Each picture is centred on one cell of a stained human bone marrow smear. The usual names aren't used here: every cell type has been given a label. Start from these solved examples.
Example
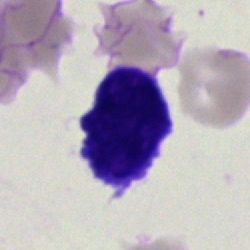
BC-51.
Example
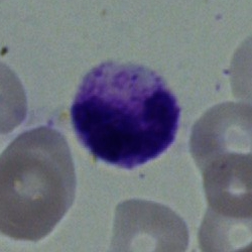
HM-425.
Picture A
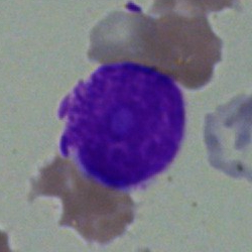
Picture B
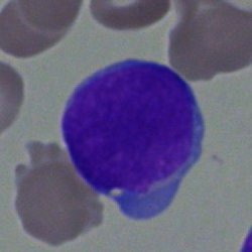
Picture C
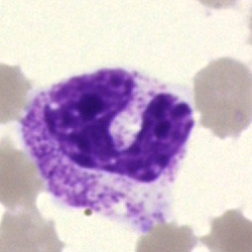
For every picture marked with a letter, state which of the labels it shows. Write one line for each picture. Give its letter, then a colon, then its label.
A: BC-51.
B: BC-51.
C: HM-425.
